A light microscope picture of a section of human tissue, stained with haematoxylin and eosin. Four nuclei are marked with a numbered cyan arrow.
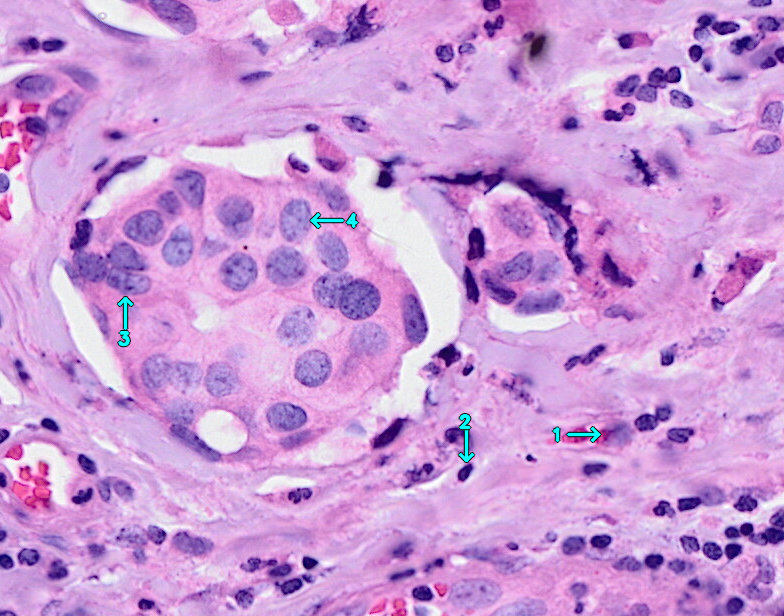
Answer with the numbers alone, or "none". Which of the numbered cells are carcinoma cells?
3, 4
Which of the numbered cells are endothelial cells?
1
